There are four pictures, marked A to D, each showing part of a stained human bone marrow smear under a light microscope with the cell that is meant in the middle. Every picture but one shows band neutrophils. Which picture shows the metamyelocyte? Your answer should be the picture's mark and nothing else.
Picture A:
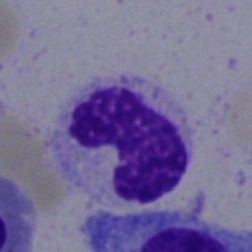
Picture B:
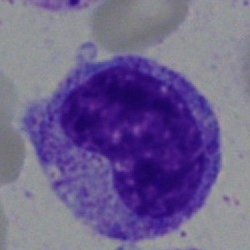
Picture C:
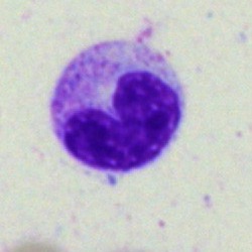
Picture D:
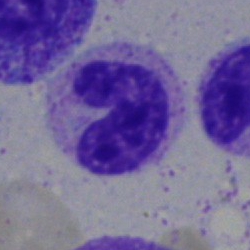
B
